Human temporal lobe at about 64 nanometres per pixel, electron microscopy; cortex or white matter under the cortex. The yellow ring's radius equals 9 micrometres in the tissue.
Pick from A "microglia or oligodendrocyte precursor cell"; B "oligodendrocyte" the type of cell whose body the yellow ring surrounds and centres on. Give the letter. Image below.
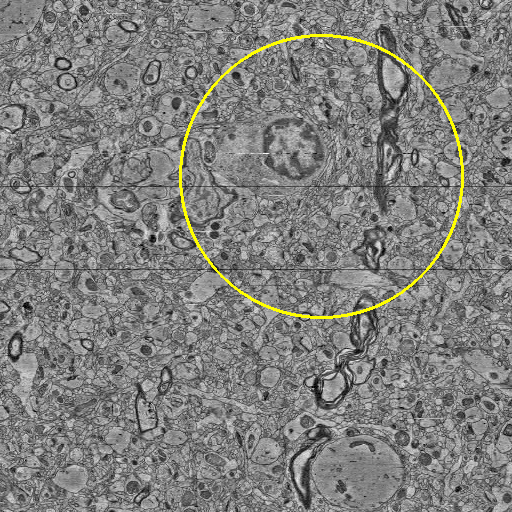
B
